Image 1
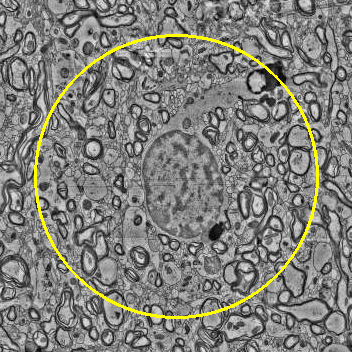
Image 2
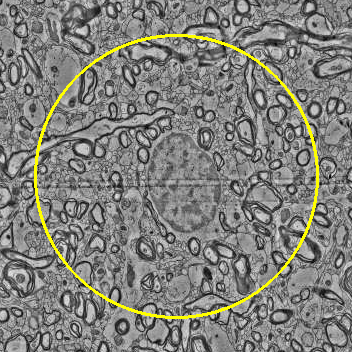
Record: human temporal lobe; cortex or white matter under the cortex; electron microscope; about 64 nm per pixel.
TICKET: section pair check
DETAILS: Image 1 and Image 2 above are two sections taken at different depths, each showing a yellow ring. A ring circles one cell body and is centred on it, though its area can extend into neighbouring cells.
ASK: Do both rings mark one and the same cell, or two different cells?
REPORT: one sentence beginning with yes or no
Yes, the same cell turns up inside each of the two rings.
